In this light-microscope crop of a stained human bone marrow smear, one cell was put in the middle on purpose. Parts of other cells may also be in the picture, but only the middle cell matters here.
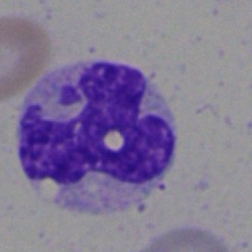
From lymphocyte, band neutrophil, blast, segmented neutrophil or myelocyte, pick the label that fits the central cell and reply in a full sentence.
The cell of interest, located centrally, is a segmented neutrophil.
